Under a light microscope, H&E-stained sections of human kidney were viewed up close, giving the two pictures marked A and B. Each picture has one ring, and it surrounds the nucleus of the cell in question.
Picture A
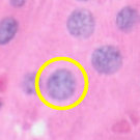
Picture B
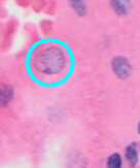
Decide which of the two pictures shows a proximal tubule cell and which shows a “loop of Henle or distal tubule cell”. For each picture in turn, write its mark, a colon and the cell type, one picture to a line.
A: loop of Henle or distal tubule cell
B: proximal tubule cell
